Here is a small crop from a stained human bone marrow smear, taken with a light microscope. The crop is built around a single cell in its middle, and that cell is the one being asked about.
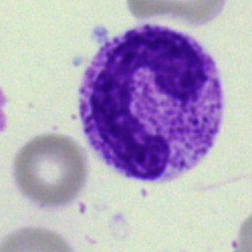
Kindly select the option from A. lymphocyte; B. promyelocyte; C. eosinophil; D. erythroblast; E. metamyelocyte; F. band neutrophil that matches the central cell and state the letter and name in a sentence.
Located in the middle of the crop is a band neutrophil, and option F is therefore correct.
